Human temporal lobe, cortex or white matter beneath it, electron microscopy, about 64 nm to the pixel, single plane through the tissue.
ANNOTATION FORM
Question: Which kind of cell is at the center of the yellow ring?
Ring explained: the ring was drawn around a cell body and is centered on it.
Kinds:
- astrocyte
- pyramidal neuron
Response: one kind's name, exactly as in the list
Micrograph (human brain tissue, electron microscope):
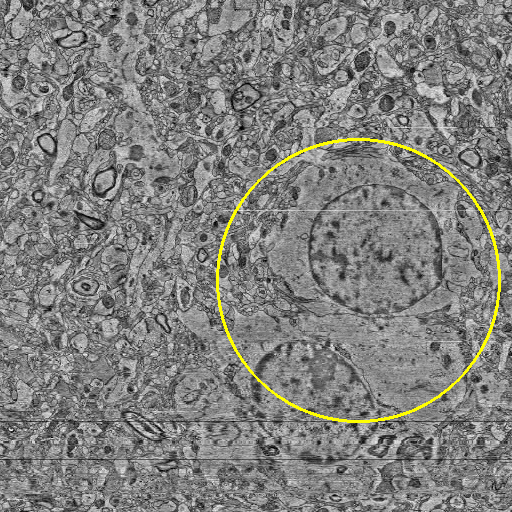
astrocyte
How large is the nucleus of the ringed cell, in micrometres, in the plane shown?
In this plane, approximately 9 micrometres across.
